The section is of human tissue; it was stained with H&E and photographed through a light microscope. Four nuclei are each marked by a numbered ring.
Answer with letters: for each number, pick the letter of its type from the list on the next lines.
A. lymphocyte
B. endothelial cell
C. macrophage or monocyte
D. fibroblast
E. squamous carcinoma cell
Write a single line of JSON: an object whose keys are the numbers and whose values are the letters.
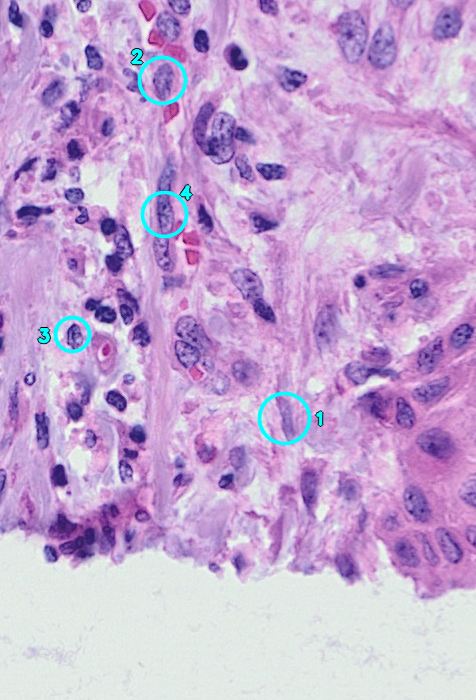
{"1": "D", "2": "B", "3": "A", "4": "B"}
